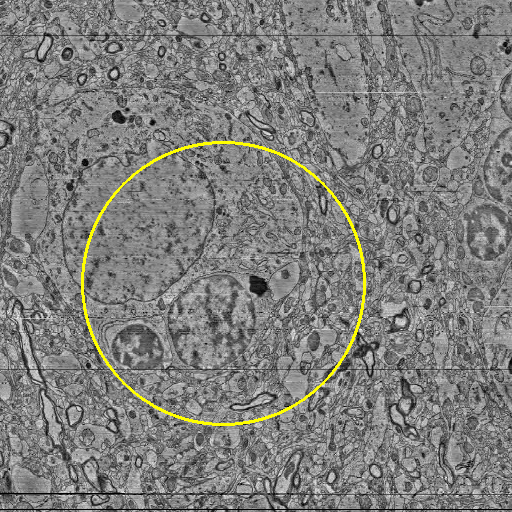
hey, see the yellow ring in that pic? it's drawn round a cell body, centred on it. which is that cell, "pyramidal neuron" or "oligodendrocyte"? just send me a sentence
The cell in the ring is an oligodendrocyte.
